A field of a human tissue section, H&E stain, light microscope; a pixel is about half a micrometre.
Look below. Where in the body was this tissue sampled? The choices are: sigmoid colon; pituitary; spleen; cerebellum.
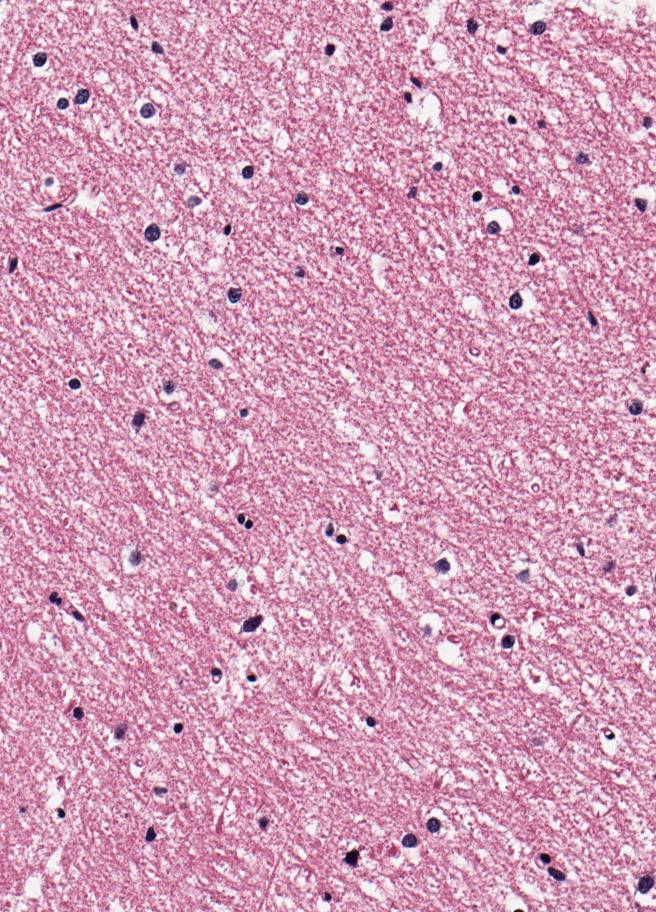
cerebellum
